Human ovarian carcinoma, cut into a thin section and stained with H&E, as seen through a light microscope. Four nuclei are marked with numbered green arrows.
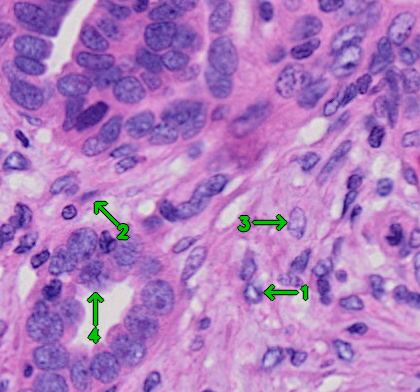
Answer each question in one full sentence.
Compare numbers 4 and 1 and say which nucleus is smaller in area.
With nucleus 4 about 1.5 times its size, nucleus 1 is the smaller of the two.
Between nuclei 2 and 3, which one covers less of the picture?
Nucleus 2 covers less area, with nucleus 3 about 2.5 times as large.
